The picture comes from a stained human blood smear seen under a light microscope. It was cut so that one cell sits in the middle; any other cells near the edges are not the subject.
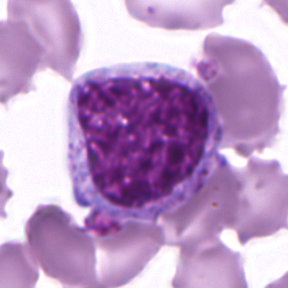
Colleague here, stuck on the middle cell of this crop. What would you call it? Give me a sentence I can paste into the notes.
The middle of this crop holds a myelocyte.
